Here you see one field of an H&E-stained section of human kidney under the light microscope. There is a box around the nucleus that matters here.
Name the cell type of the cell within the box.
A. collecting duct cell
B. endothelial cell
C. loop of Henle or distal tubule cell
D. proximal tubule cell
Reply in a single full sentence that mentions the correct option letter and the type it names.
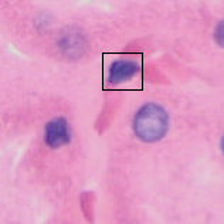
The correct option is B, as the cell within the box is an endothelial cell.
